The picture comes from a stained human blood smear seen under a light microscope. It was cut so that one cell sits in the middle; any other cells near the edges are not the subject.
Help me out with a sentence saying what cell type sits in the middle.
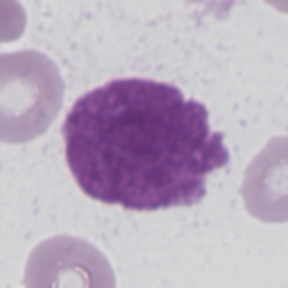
The central element of this crop is a cell, namely a smudge cell.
